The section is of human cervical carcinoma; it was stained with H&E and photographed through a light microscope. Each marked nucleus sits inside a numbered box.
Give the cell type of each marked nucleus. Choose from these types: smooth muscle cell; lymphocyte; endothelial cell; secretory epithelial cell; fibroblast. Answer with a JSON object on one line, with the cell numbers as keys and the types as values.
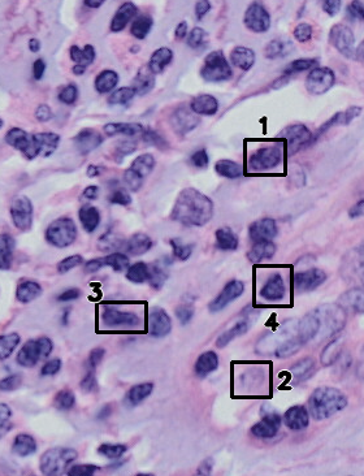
{"1": "lymphocyte", "2": "endothelial cell", "3": "lymphocyte", "4": "lymphocyte"}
